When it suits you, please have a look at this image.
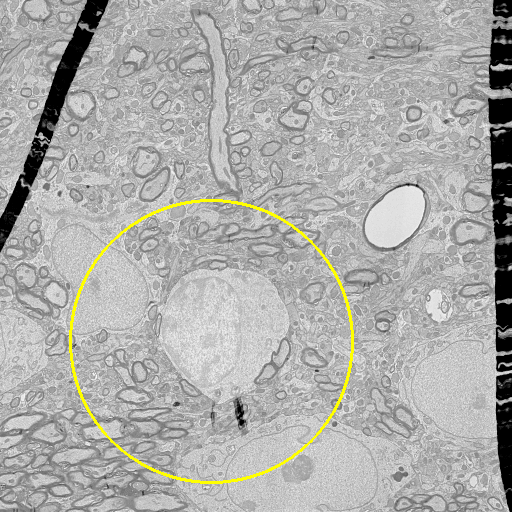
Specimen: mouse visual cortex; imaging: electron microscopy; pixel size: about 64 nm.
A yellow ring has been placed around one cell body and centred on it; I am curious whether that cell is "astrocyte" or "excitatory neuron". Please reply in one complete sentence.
The ringed cell, an astrocyte, has its body at the centre of the yellow ring.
